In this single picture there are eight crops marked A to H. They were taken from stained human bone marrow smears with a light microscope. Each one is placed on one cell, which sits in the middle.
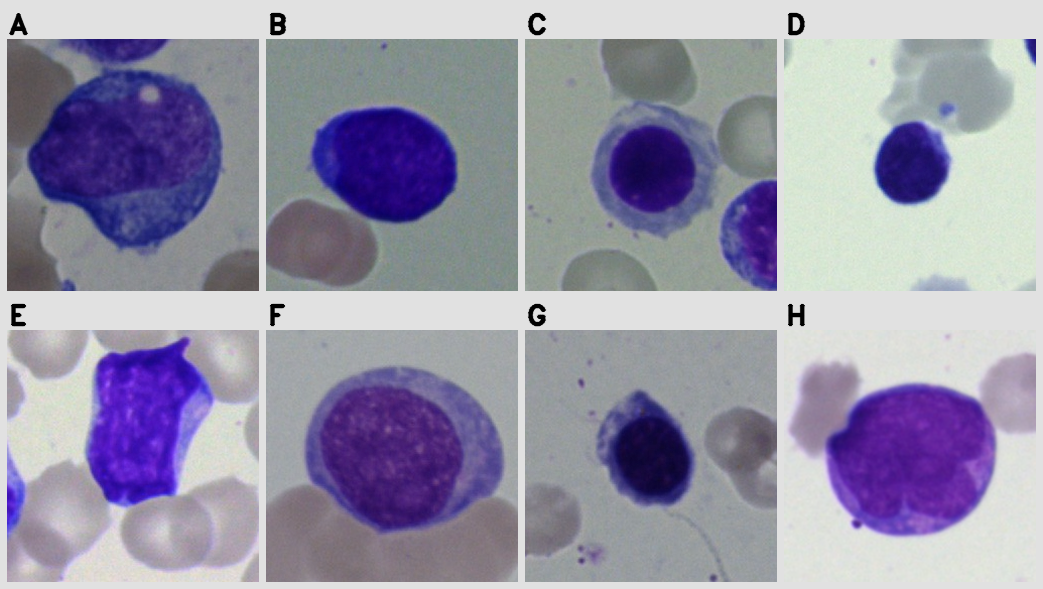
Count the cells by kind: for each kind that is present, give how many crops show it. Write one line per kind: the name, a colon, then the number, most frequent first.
blast: 5
normoblast: 2
lymphocyte: 1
